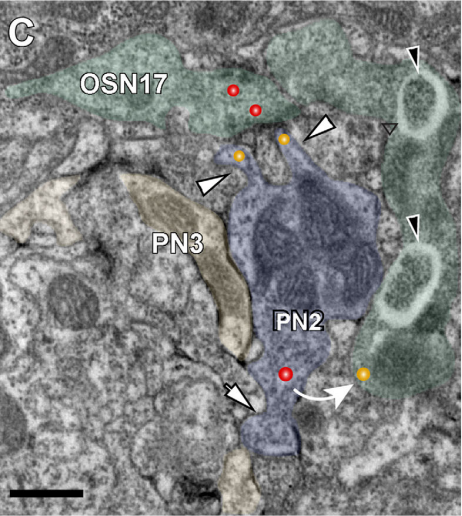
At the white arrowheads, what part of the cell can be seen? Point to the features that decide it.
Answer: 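Thin protrusions extend from the blue profile toward the green one. On this evidence: spines.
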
